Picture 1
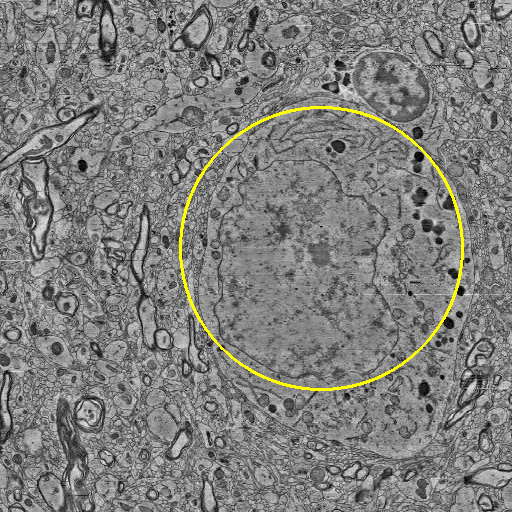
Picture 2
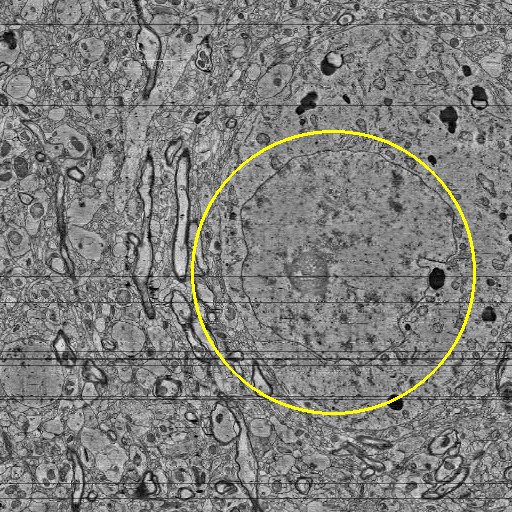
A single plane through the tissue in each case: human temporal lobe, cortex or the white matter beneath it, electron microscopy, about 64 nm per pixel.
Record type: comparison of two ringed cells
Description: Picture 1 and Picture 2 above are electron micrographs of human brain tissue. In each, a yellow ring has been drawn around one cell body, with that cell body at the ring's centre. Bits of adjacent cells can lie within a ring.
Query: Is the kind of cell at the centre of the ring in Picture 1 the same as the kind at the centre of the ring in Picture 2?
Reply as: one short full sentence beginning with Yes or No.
Yes, the two ringed cells are of the same kind.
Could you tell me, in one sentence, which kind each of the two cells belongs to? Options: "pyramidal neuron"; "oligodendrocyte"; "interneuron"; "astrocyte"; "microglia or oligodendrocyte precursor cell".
The first and the second cell are each a pyramidal neuron.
